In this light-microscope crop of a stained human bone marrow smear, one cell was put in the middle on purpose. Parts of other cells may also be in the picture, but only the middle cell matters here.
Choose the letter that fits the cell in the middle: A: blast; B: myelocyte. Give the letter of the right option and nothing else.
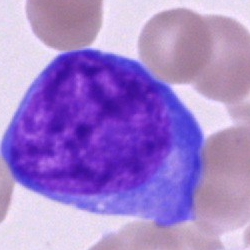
A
